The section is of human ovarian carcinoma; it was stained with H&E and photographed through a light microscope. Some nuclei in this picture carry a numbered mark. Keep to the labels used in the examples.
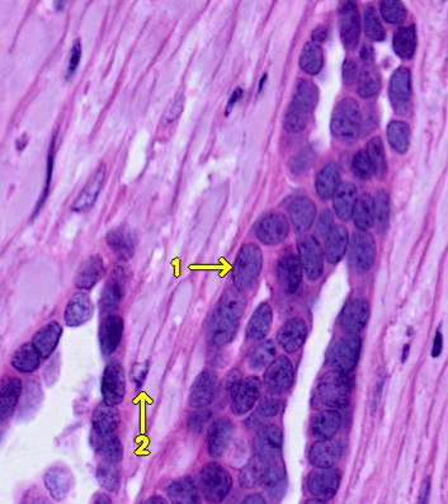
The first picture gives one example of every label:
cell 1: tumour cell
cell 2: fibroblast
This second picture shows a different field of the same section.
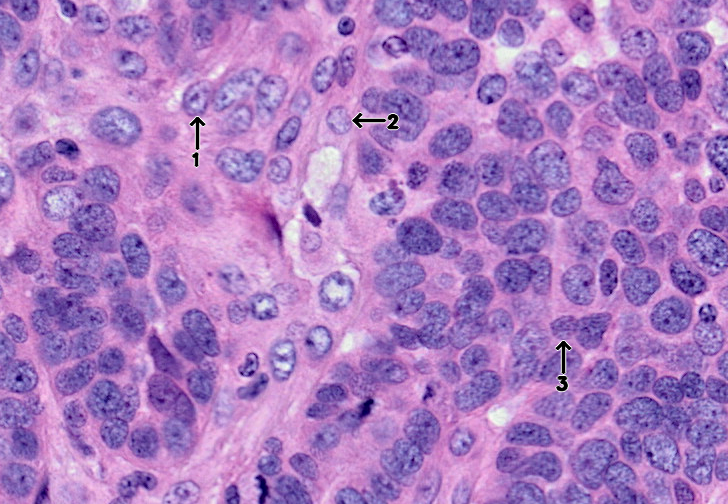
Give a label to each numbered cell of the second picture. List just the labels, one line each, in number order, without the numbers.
fibroblast
fibroblast
tumour cell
